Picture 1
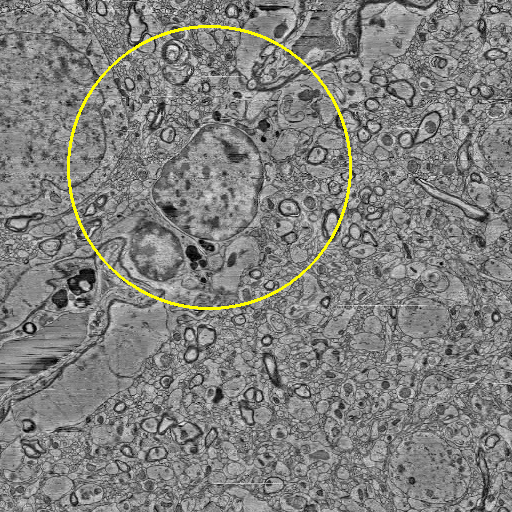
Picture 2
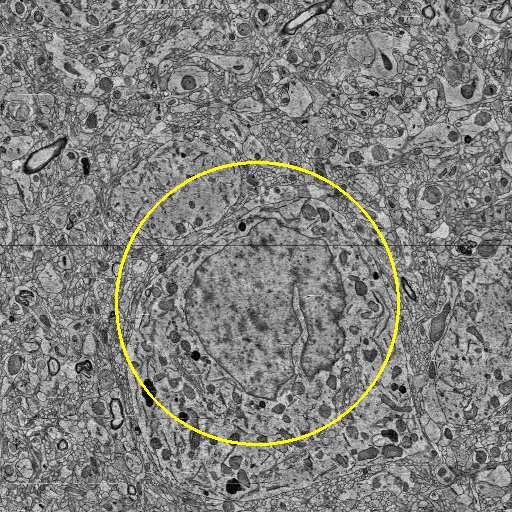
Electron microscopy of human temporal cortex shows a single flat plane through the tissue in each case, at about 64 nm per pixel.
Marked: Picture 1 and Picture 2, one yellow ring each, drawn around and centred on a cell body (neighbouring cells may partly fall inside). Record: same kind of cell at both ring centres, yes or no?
no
